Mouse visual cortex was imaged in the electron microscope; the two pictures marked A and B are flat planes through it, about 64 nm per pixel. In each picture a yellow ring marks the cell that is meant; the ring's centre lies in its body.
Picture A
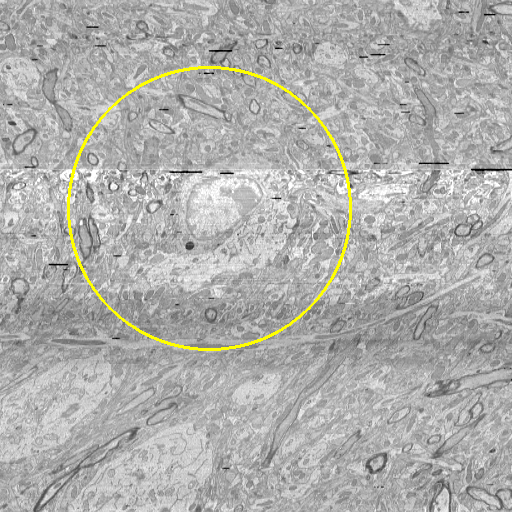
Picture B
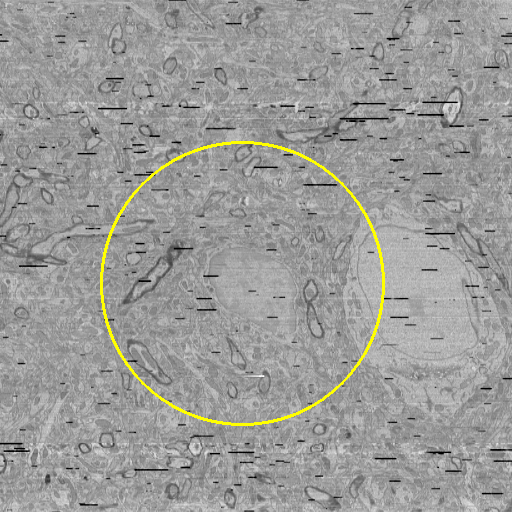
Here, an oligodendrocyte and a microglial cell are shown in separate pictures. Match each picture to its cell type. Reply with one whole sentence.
The cell in picture A is an oligodendrocyte, and the one in picture B is a microglial cell.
